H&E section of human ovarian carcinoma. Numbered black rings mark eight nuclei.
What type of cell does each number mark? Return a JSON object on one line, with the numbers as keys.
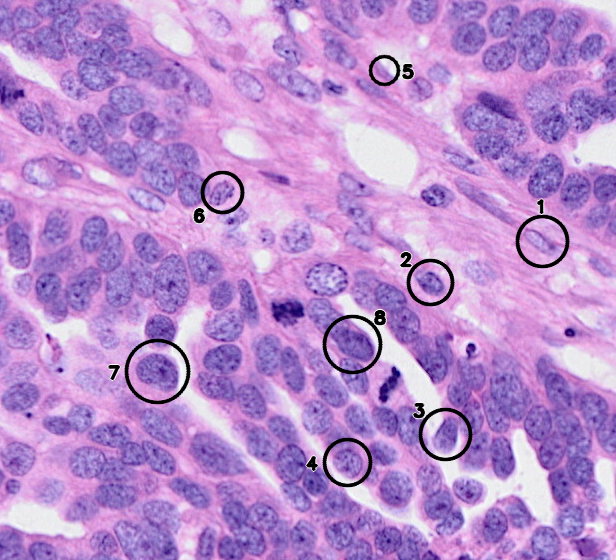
{"1": "fibroblast", "2": "macrophage or monocyte", "3": "carcinoma cell", "4": "carcinoma cell", "5": "fibroblast", "6": "macrophage or monocyte", "7": "carcinoma cell", "8": "carcinoma cell"}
